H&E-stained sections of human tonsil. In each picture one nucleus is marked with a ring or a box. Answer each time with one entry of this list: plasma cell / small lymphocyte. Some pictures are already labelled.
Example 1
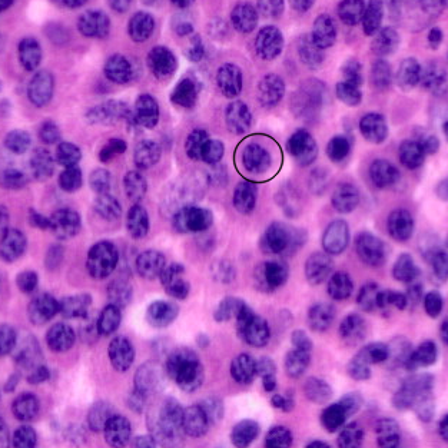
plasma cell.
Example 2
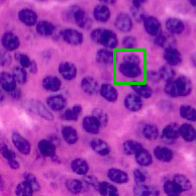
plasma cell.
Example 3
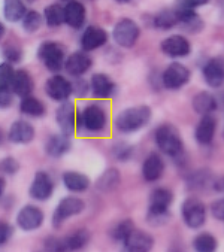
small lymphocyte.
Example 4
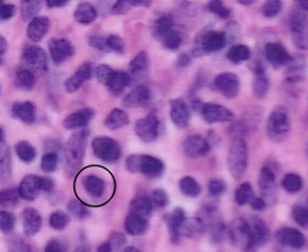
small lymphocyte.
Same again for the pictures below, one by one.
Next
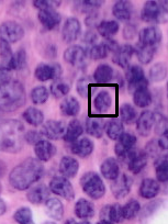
small lymphocyte.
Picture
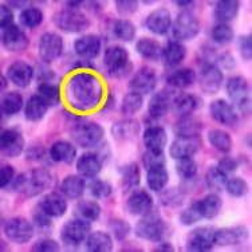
small lymphocyte.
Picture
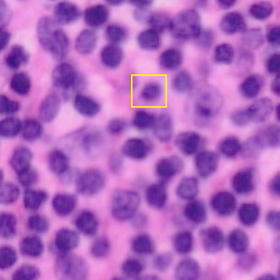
small lymphocyte.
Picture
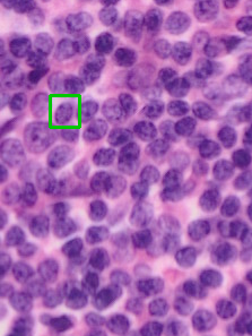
small lymphocyte.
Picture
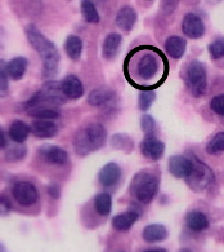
plasma cell.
